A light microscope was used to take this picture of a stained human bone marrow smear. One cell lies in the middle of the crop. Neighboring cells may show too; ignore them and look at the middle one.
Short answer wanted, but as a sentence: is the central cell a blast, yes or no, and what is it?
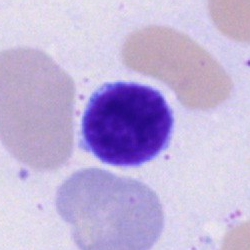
No, in this crop the central cell is a lymphocyte instead of a blast.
